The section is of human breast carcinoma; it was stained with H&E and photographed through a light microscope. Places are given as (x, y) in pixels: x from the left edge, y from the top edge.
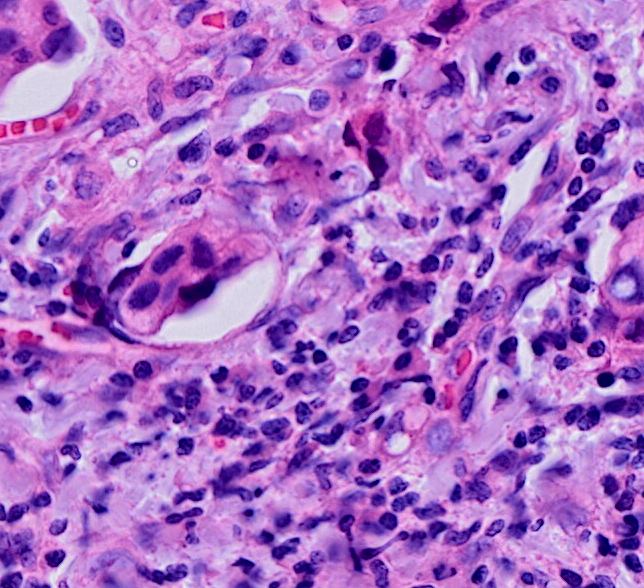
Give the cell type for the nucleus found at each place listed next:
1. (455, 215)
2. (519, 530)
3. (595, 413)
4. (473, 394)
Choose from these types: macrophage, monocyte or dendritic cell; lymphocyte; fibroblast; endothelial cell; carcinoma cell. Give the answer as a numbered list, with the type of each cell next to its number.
1. lymphocyte
2. lymphocyte
3. lymphocyte
4. endothelial cell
